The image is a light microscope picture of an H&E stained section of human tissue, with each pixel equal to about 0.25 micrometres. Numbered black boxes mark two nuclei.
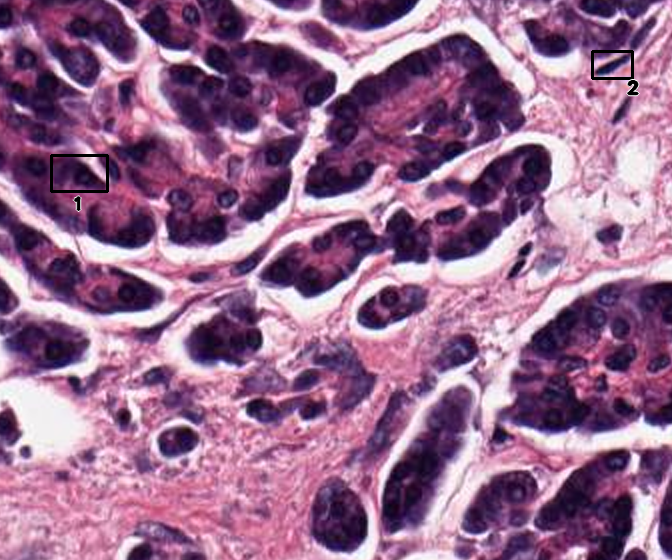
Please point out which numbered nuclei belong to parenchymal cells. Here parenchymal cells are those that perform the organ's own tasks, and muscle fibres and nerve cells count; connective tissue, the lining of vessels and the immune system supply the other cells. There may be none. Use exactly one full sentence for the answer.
Of the marked nuclei, it is only nucleus 1 whose cell is parenchymal.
